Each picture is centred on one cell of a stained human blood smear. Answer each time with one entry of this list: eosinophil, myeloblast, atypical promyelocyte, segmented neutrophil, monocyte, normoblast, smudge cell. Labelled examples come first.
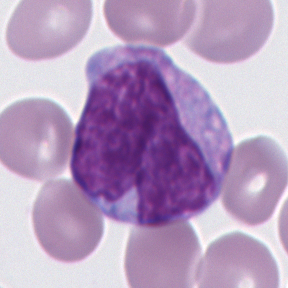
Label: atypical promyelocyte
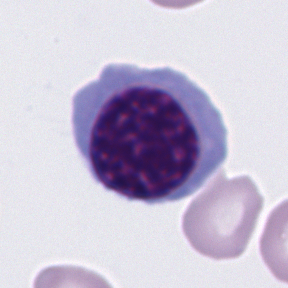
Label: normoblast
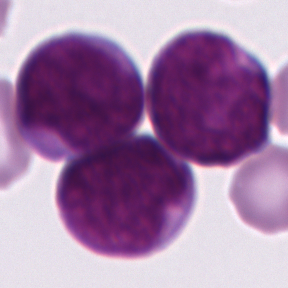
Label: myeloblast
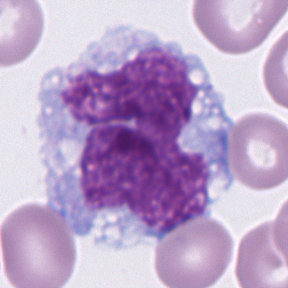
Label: monocyte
